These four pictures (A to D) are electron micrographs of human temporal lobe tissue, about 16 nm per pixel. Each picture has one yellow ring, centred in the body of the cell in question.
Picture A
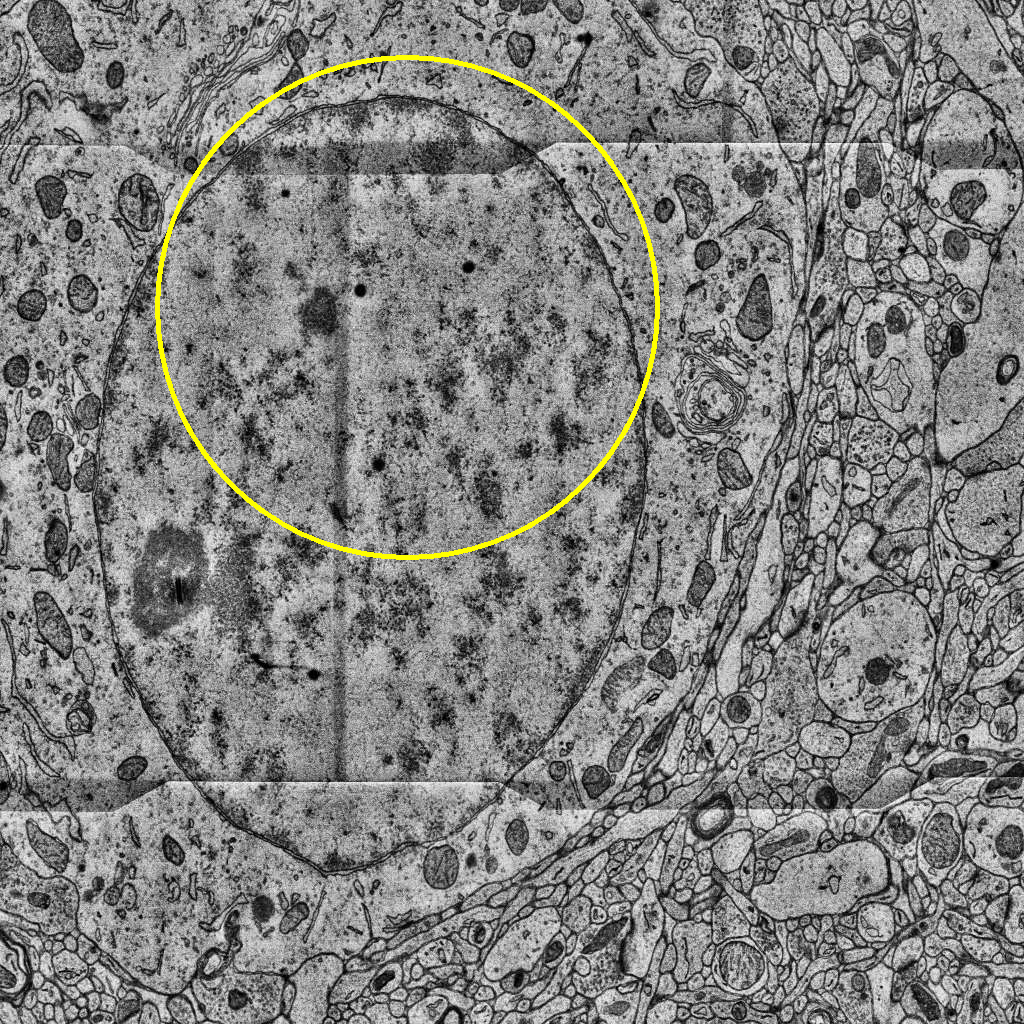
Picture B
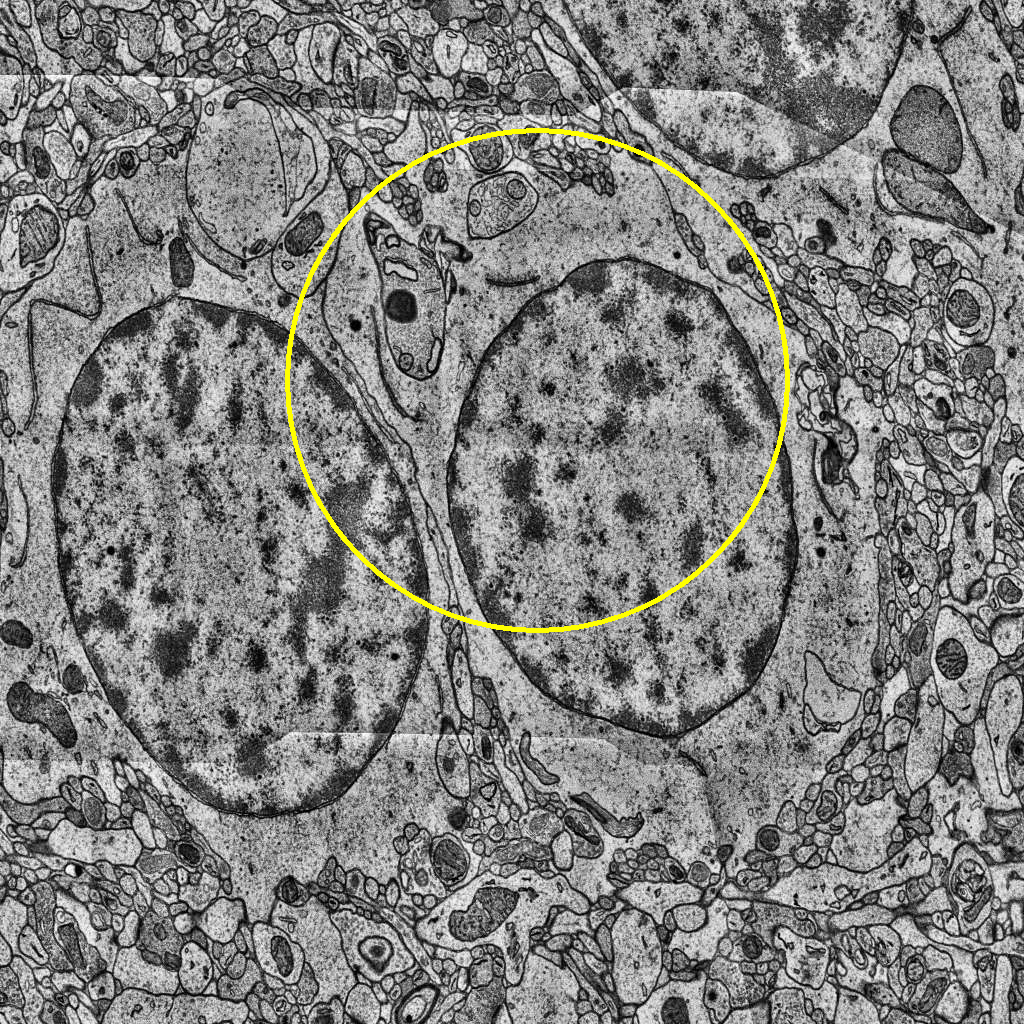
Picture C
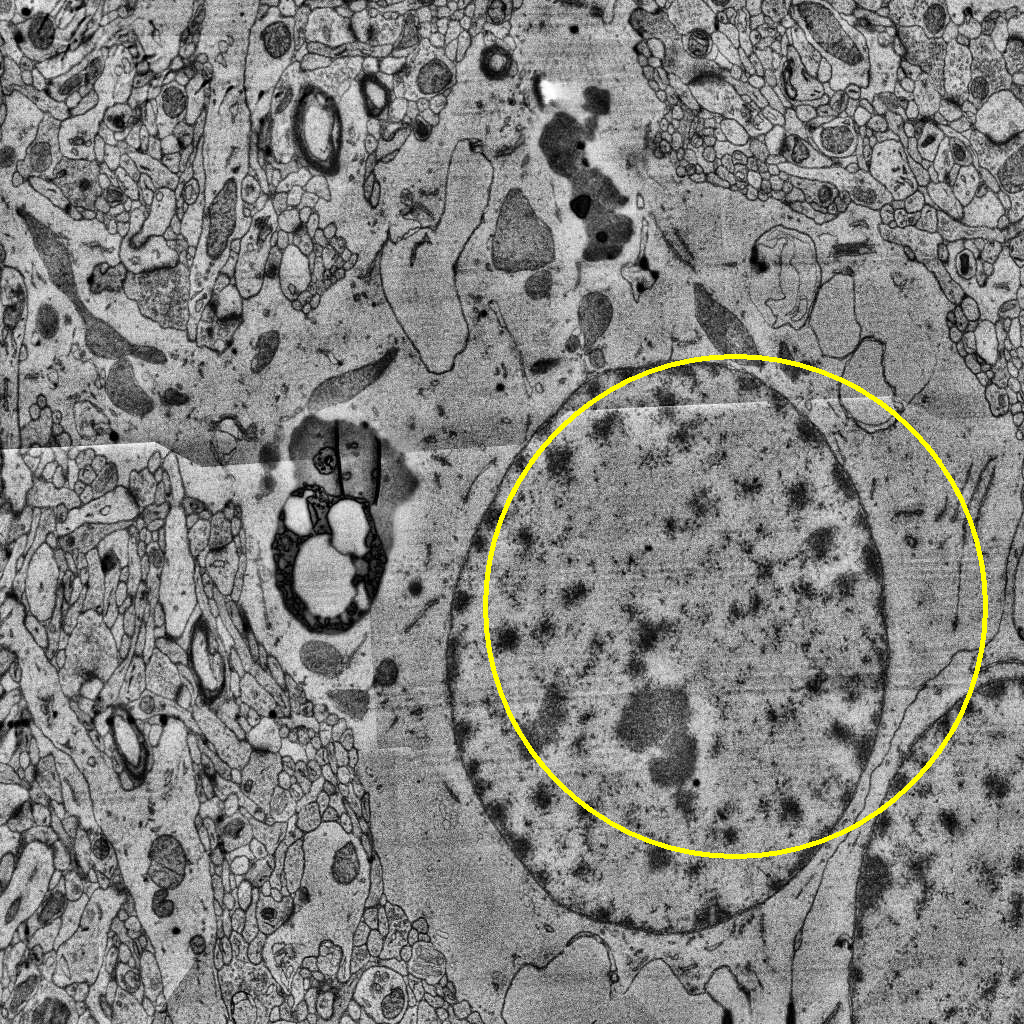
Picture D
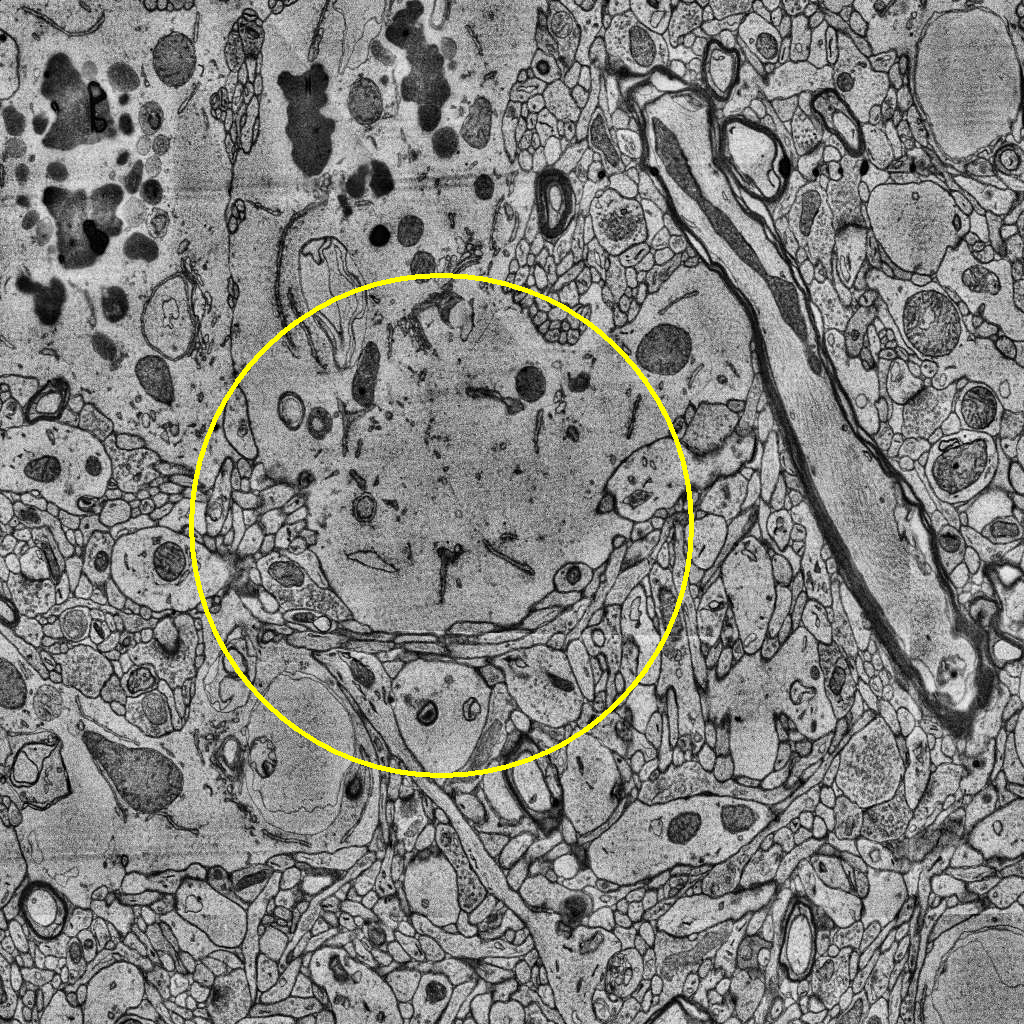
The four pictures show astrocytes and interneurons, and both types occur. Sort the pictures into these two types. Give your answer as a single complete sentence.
Pictures B, C and D show astrocytes; picture A shows an interneuron.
